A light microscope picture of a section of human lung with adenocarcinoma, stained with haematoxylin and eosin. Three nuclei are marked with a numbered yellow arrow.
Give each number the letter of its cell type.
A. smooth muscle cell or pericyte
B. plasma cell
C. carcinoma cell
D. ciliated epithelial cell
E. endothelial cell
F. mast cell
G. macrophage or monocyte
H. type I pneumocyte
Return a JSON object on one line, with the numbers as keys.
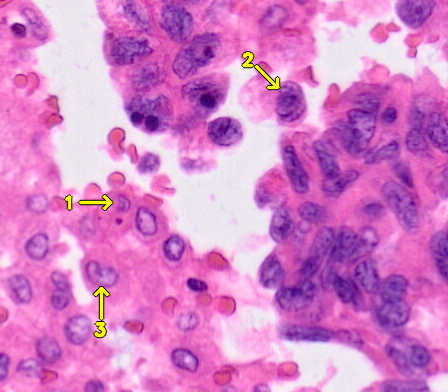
{"1": "G", "2": "C", "3": "G"}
